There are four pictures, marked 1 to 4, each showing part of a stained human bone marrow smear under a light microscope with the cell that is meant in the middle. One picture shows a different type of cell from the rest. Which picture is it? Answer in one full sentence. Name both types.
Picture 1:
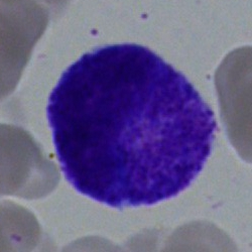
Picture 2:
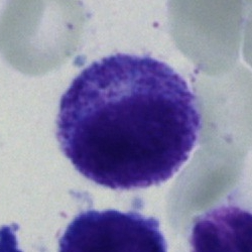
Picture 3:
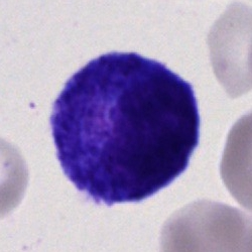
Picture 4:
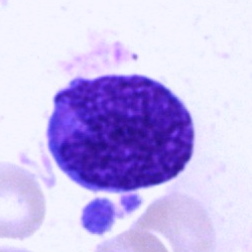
Picture 4 is the odd one out: it shows a blast, while the others show promyelocytes.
